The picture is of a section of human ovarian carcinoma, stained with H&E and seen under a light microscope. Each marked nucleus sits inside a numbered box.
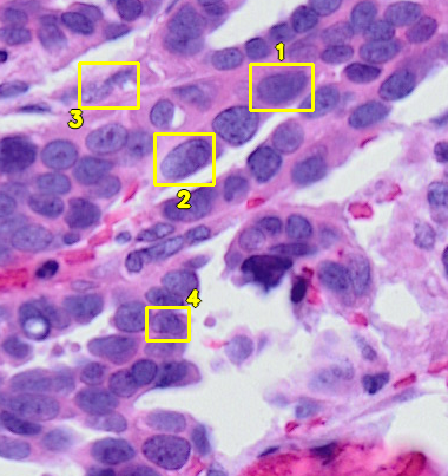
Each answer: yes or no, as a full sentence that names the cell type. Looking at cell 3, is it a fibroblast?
Yes, the numbered cell 3 is identified as a fibroblast.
